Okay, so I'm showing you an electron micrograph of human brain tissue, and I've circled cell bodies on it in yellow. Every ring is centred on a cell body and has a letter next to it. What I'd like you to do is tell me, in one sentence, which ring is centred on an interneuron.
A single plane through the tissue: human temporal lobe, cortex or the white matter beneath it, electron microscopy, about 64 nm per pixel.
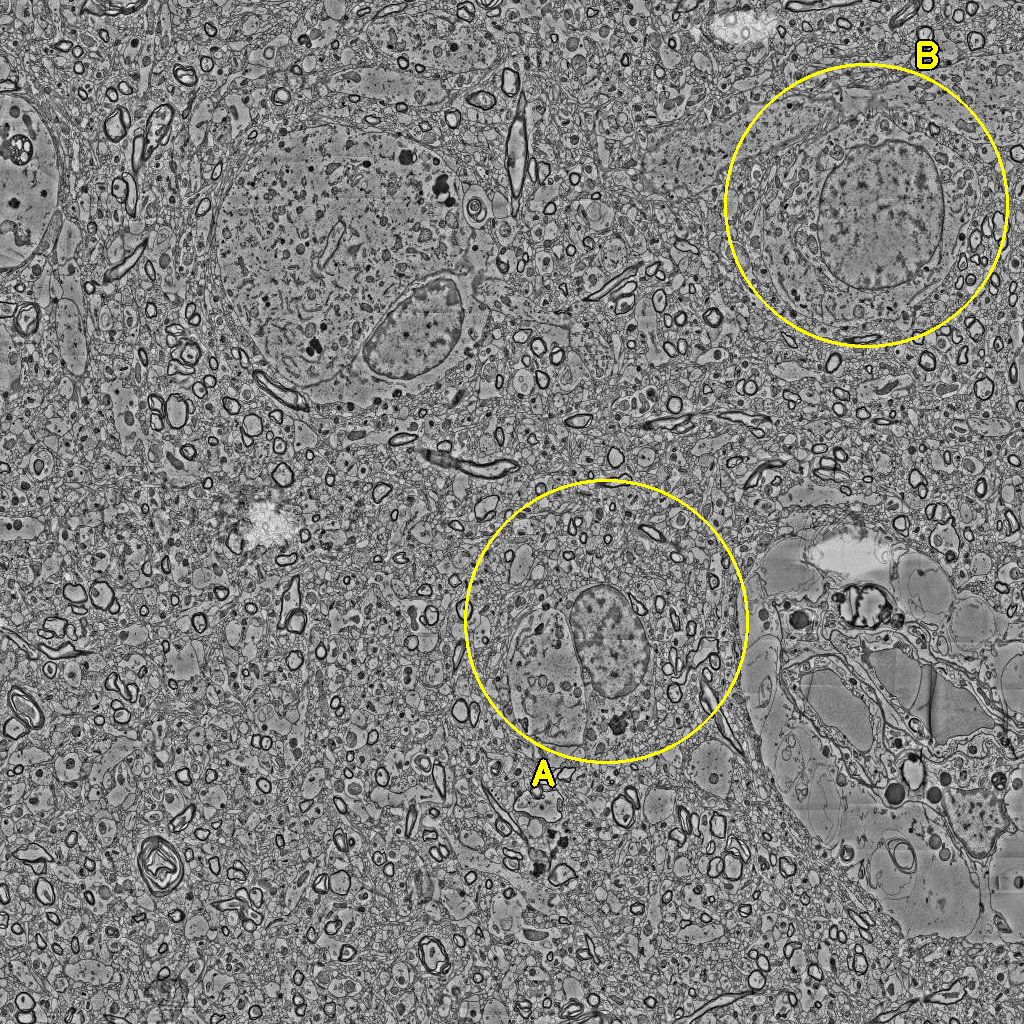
It's ring B.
